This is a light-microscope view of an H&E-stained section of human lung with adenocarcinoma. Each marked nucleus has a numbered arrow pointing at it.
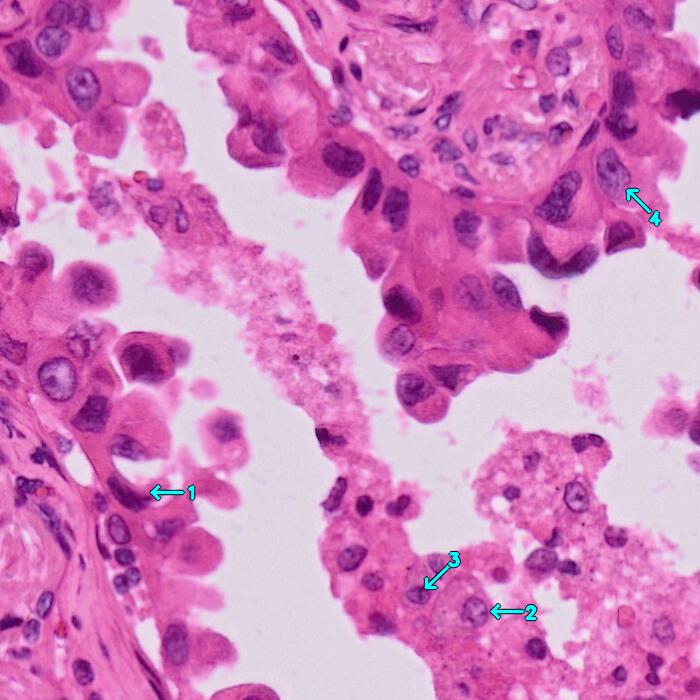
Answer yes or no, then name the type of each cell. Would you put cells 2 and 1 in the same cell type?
No, cell 2 is a macrophage or monocyte and cell 1 is a carcinoma cell.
